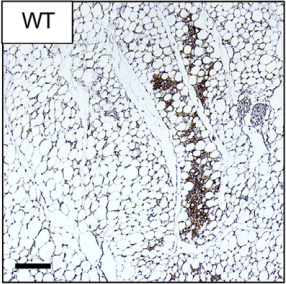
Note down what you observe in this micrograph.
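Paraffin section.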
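Fat tissue made mostly of large polygonal cells, each an empty single vacuole bounded by a thin rim, packed together like a honeycomb. A narrow streak of smaller brown-stained cells with several small droplets runs along a thin connective tissue strand, and a few small vessels lie nearby.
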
